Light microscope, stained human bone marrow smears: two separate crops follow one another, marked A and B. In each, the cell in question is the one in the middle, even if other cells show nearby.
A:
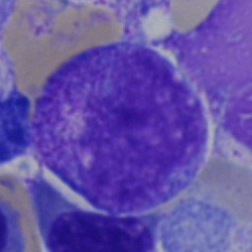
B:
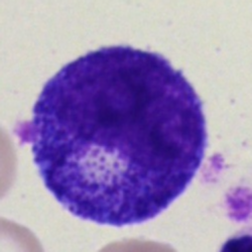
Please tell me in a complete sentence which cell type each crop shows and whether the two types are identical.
Yes, promyelocytes are shown in both crops.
